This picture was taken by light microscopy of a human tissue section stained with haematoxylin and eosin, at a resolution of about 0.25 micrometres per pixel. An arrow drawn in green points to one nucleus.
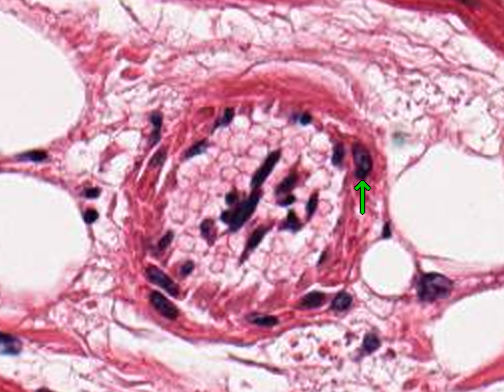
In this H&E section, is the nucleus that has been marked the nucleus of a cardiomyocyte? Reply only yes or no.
no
